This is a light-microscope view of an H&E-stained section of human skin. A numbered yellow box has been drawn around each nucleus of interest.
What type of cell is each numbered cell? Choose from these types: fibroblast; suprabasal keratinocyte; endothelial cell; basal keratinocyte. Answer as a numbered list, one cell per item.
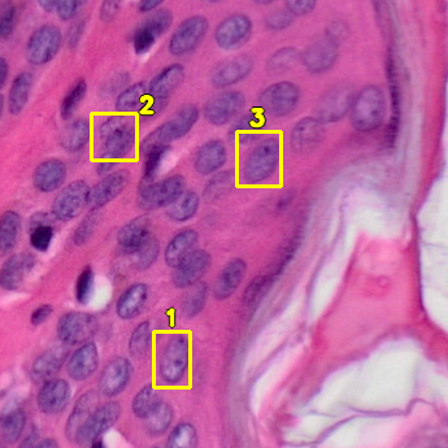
1. suprabasal keratinocyte
2. basal keratinocyte
3. suprabasal keratinocyte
